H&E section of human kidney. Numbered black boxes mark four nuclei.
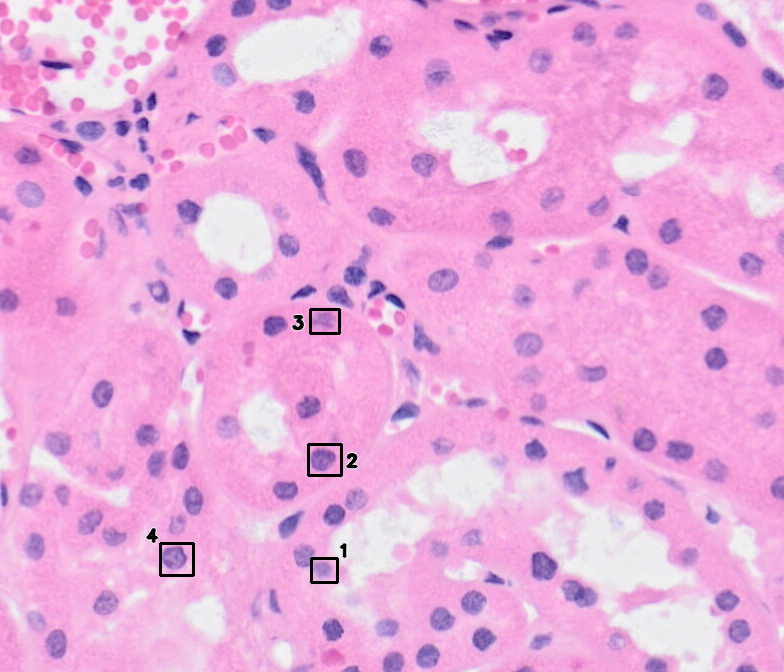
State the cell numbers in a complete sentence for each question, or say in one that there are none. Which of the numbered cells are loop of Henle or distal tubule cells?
In contrast to the remaining marked cells, cell 1 is a loop of Henle or distal tubule cell.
